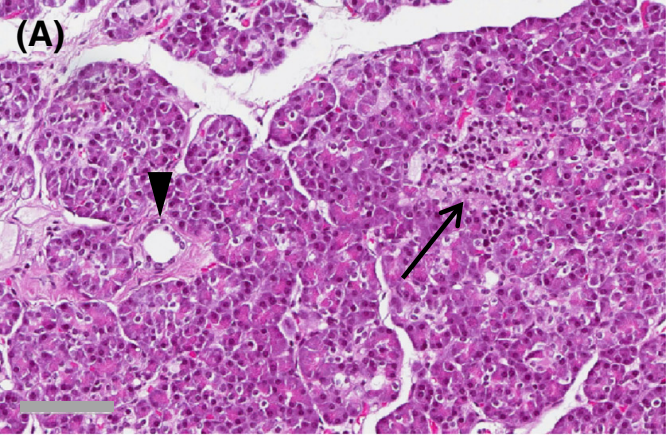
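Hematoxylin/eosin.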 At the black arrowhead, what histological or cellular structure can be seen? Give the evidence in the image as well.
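The arrowhead points to a small round empty lumen. The lumen sits in a small rim of pale connective tissue between acinar lobules. On this evidence: small pancreatic duct.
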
